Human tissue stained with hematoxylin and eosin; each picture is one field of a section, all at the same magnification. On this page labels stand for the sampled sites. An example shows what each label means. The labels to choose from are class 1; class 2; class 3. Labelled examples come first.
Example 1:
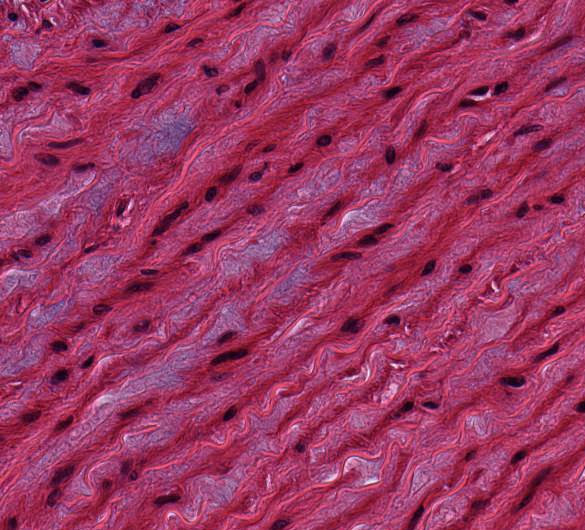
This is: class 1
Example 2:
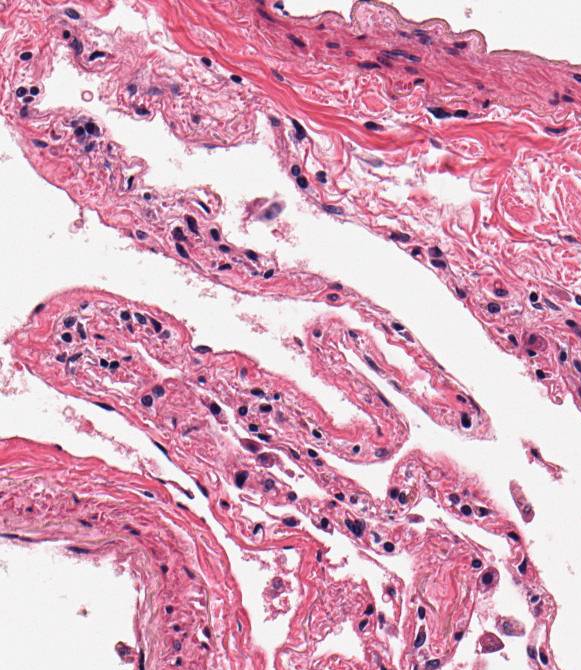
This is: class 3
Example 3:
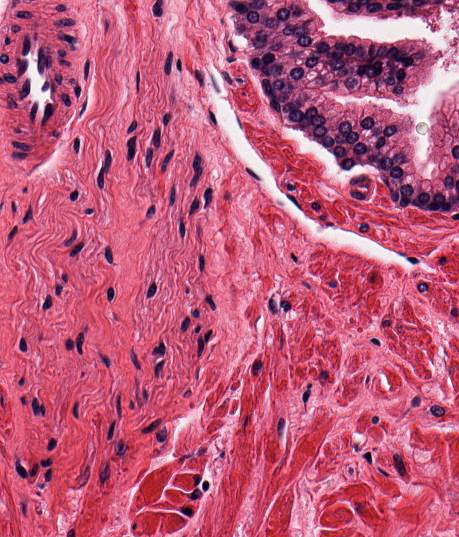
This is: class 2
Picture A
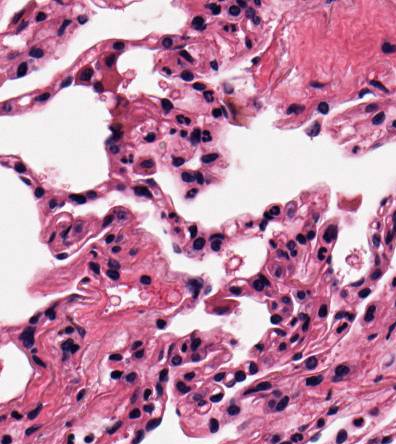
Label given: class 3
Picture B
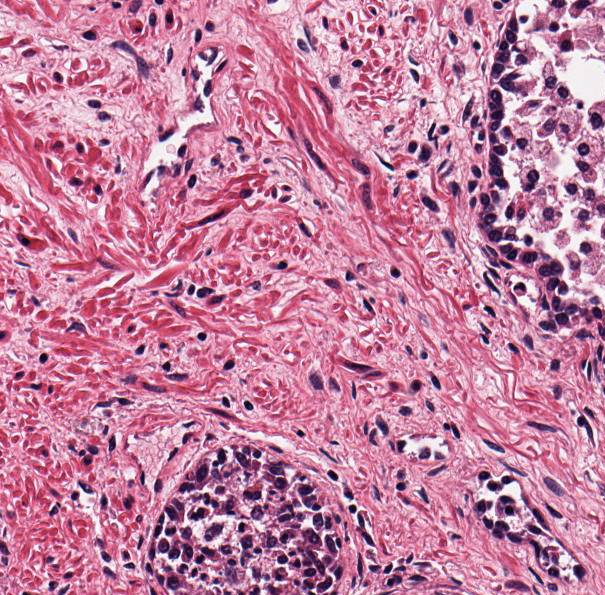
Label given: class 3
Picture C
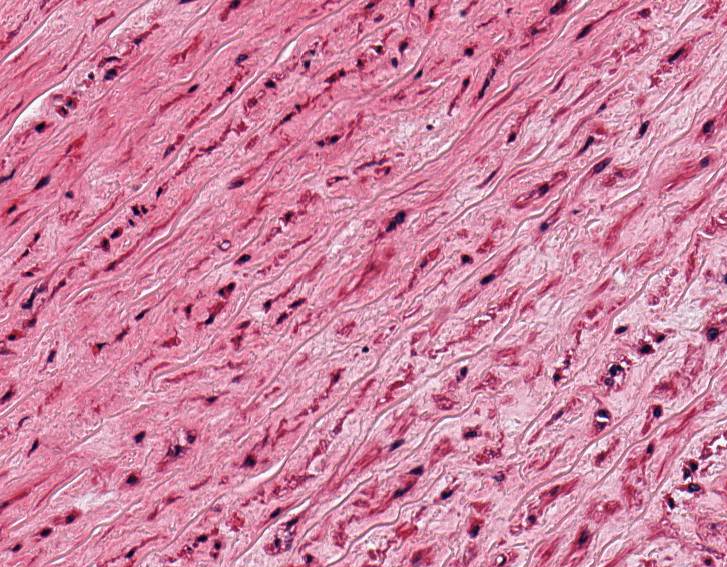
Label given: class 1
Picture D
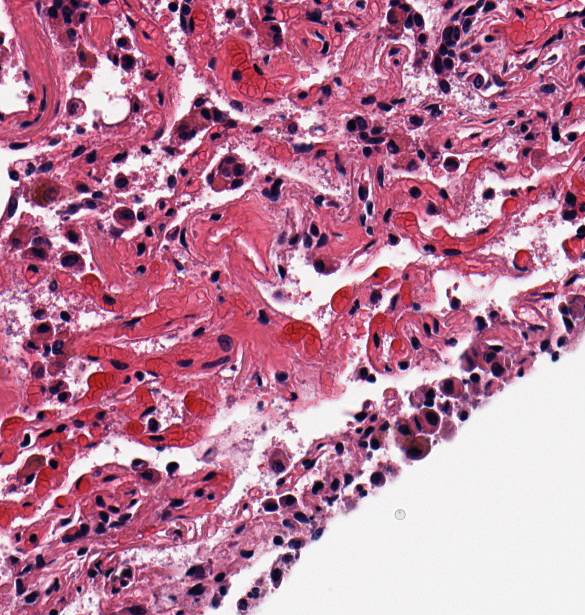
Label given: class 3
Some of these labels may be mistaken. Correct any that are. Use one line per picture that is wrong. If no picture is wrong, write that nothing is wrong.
B is labelled class 3; correct label: class 2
